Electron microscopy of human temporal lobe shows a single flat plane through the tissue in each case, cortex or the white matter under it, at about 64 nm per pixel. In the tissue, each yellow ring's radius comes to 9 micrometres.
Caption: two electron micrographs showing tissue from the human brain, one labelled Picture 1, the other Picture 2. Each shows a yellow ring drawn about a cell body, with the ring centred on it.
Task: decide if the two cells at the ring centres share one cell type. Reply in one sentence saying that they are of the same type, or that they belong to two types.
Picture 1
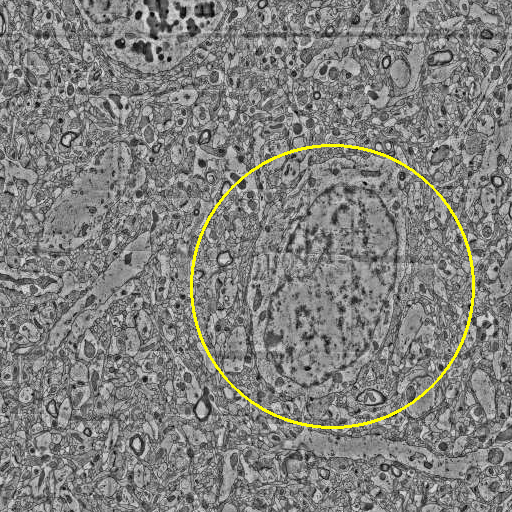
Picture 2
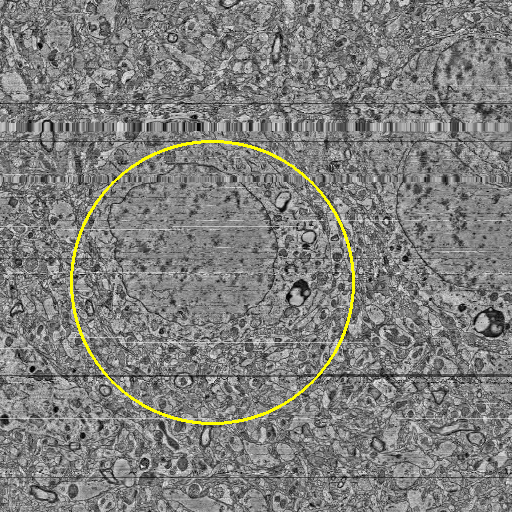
The cells at the ring centres in Picture 1 and Picture 2 belong to two types.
